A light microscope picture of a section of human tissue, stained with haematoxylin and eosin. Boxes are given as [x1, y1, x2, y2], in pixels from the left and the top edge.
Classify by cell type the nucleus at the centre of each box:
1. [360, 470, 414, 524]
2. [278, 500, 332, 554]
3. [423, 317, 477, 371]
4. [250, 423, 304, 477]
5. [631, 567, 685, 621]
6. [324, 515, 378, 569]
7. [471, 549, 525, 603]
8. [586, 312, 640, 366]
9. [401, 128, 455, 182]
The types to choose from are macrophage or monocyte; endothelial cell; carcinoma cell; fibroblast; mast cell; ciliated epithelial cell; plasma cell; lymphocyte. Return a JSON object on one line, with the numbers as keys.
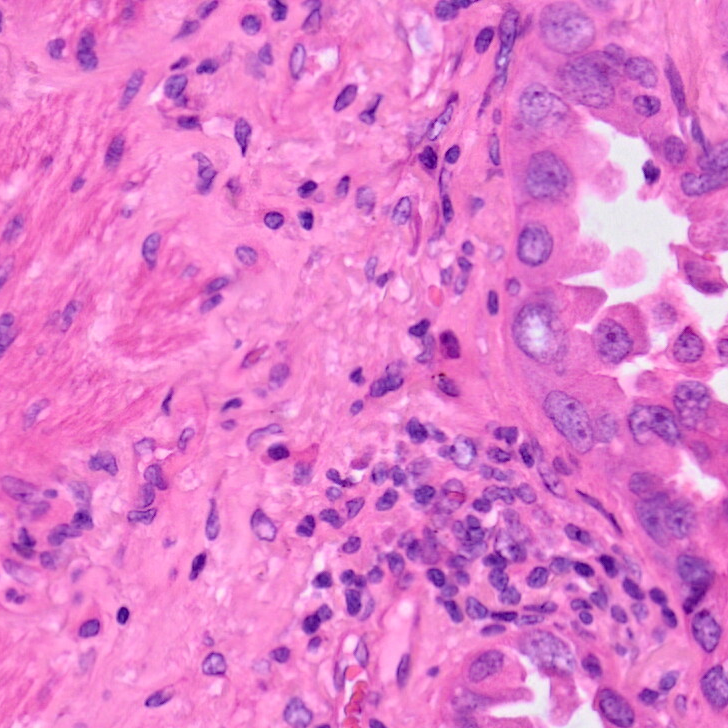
{"1": "lymphocyte", "2": "lymphocyte", "3": "plasma cell", "4": "plasma cell", "5": "lymphocyte", "6": "lymphocyte", "7": "lymphocyte", "8": "carcinoma cell", "9": "plasma cell"}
